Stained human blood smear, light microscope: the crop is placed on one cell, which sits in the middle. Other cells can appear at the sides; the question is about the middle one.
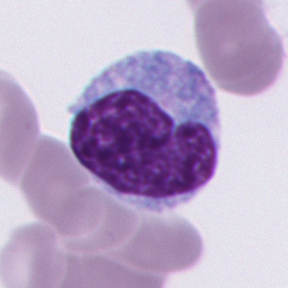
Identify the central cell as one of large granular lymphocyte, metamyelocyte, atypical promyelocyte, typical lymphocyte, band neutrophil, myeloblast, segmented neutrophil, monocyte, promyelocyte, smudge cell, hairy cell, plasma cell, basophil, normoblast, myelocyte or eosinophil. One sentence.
The central cell, amid any neighbouring cells, is a monocyte.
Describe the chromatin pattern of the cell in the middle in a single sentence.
What stands out is chromatin that is coarsely clumped.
